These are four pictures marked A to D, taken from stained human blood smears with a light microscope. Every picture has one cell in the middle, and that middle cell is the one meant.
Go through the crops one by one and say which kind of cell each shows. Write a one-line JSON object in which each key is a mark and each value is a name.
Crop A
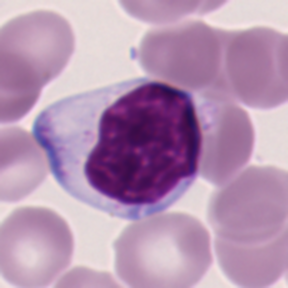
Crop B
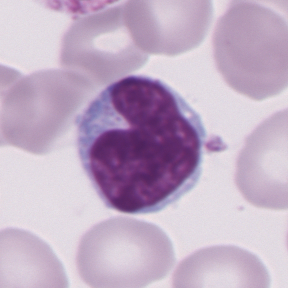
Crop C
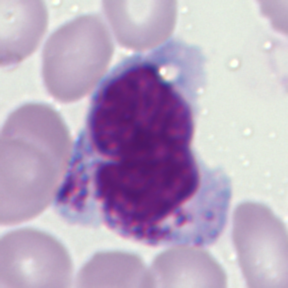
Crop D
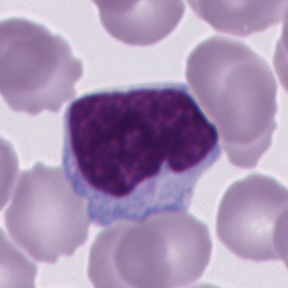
{"A": "large granular lymphocyte", "B": "typical lymphocyte", "C": "large granular lymphocyte", "D": "typical lymphocyte"}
